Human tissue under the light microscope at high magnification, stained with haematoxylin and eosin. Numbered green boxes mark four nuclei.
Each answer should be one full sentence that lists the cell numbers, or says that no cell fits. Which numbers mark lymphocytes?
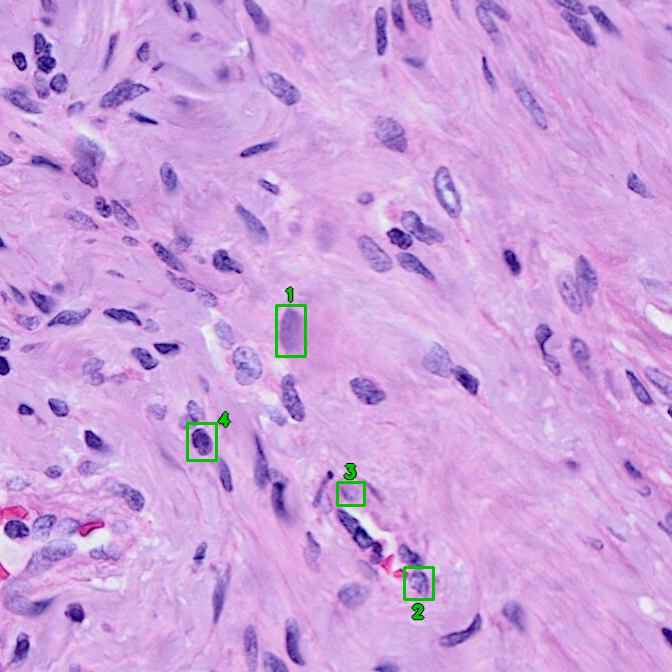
The cell marked by number 4 is a lymphocyte; the other marked cells are not.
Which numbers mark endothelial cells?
The cells with numbers 2 and 3 are endothelial cells by type.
